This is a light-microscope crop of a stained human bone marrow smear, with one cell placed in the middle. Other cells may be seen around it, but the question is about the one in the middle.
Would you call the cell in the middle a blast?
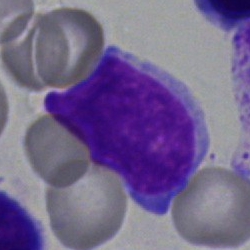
yes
